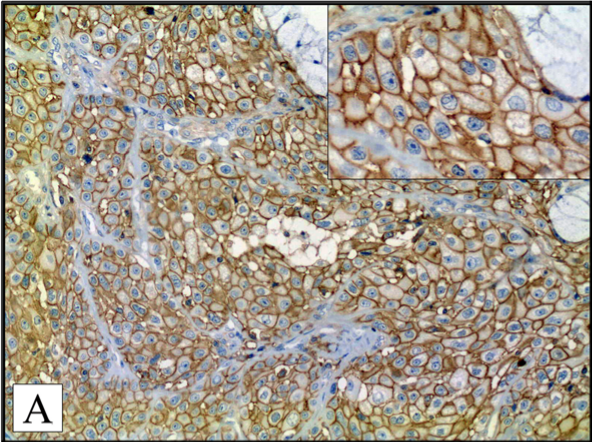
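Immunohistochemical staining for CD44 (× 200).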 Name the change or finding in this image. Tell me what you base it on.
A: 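Solid sheets of polygonal squamoid tumour cells. Scattered clear, vacuolated cells among them. Pale bluish mucoid material at the upper right.
Conclusion: mucoepidermoid carcinoma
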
